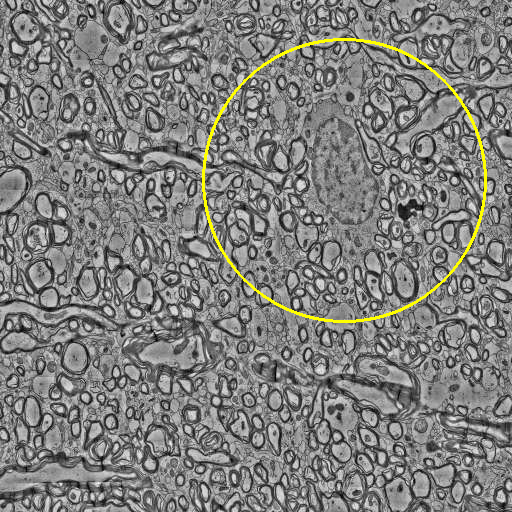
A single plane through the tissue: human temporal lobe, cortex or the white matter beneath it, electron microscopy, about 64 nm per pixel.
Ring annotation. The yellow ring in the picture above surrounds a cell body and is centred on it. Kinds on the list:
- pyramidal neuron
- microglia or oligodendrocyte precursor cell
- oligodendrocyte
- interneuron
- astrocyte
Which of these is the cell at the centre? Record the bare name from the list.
oligodendrocyte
